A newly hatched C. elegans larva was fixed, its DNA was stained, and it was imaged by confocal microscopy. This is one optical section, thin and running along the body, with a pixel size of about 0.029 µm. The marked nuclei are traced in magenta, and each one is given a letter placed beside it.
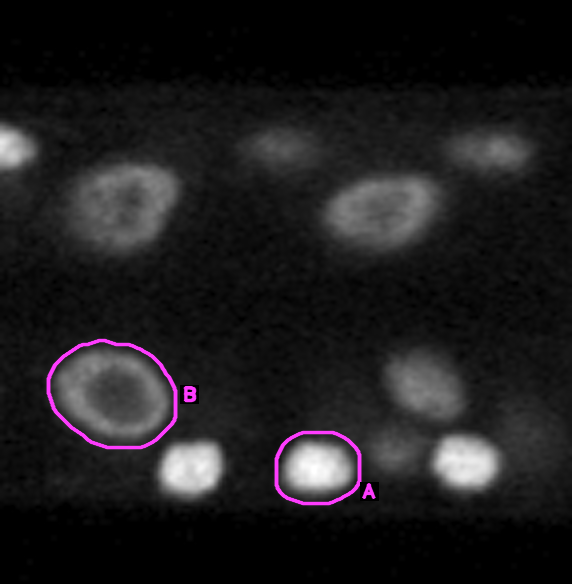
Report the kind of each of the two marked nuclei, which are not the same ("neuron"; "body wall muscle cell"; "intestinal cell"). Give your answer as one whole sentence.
A is from a neuron, and B is from an intestinal cell.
